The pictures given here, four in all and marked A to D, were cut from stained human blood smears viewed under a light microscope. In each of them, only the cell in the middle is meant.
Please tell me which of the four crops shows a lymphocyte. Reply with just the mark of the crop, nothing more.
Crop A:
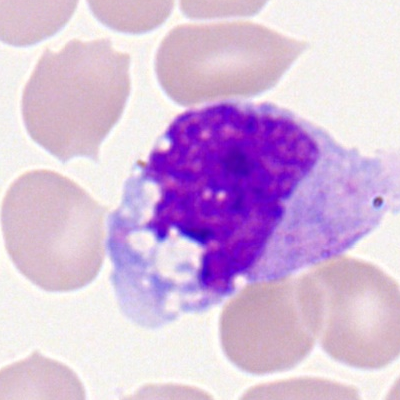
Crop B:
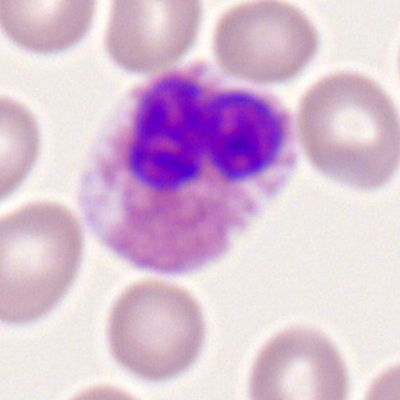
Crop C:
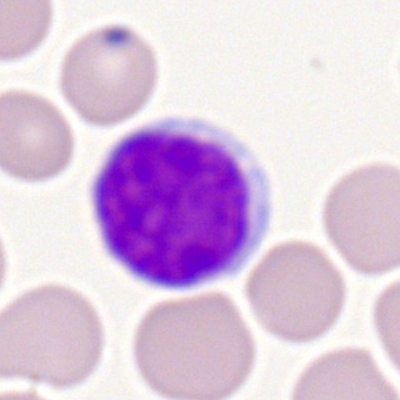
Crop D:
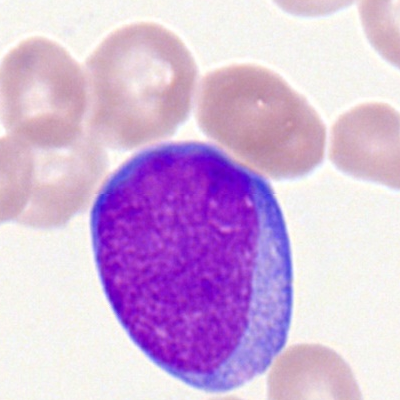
C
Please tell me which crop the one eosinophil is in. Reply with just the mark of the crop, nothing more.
B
